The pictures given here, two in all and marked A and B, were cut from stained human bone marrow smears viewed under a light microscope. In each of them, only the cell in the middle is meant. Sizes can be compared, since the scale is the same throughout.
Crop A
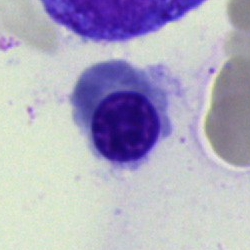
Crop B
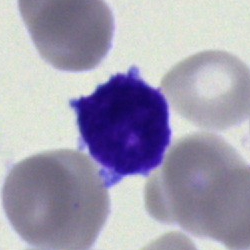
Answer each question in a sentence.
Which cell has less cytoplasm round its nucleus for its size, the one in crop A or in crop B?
In crop B the nucleus takes up the larger part of its cell.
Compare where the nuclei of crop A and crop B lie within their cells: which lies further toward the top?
In crop B the nucleus is shifted more toward the top.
